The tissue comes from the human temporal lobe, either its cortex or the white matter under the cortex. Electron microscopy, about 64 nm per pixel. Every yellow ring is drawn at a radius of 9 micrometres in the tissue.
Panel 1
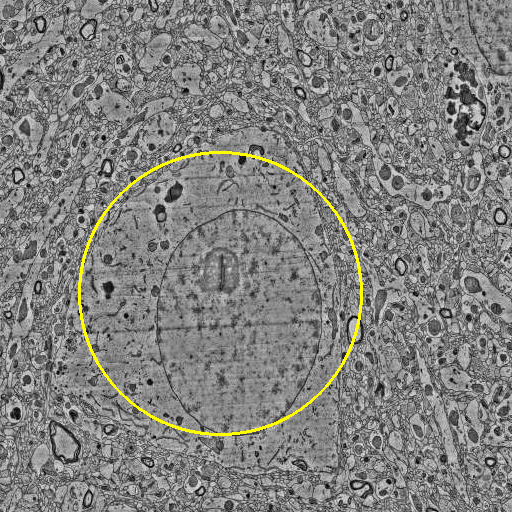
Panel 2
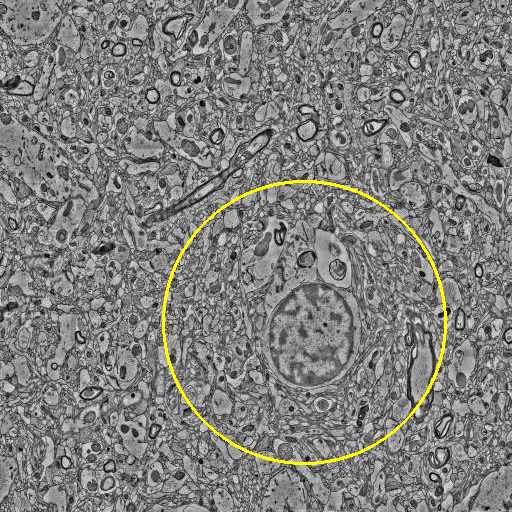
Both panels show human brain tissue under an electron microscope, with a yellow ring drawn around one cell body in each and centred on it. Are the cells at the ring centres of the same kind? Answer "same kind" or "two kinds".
two kinds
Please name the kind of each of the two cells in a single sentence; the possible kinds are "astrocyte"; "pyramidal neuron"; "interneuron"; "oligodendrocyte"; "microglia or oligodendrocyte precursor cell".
In the first picture the ring is centred on a pyramidal neuron, and in the second on an oligodendrocyte.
